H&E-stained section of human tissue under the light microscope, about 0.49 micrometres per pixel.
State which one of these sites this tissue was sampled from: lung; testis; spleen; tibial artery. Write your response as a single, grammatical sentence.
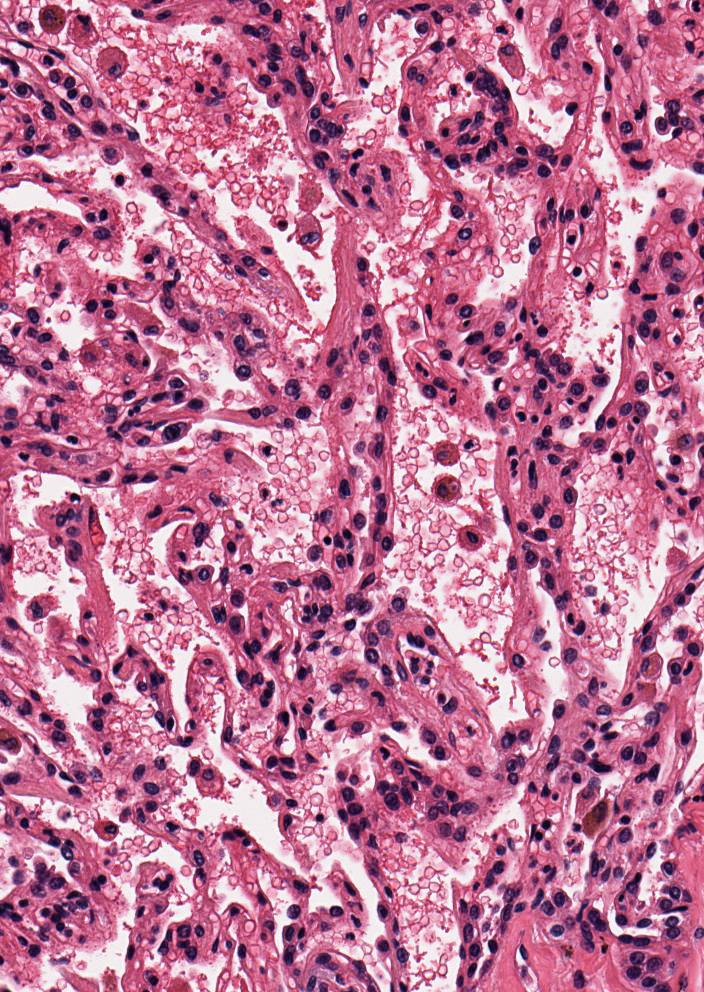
The specimen in this section was collected from the lung.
